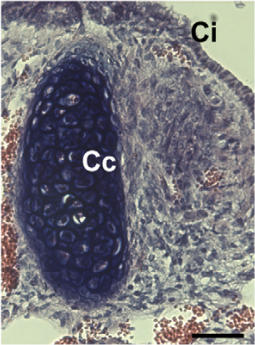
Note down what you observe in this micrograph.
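An oval nodule of cartilage sits in loose connective tissue, its matrix stained deep blue-purple. Rounded chondrocytes lie scattered through the matrix, many within pale lacunae. Flattened spindle-shaped cells wrap the nodule in a thin fibrous rim. Red blood cells lie in clusters beside it, and a thin epithelial lining runs along the upper right edge.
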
